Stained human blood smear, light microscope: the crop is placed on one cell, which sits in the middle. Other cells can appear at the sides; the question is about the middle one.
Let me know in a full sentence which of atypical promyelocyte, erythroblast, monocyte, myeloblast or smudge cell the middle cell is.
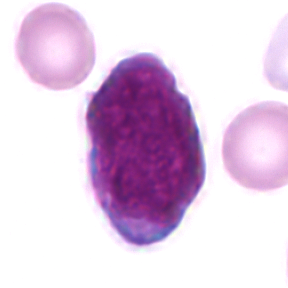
This crop's central cell is an atypical promyelocyte.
